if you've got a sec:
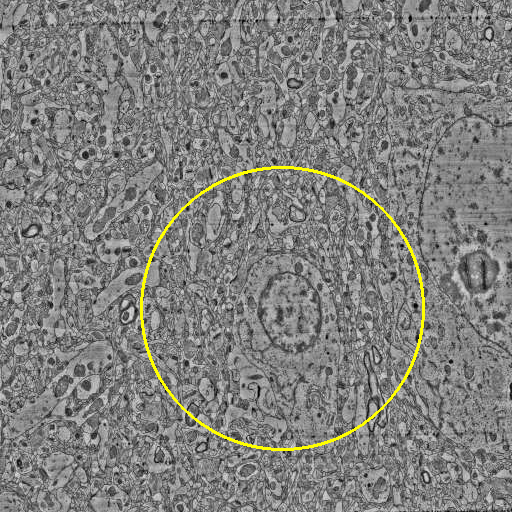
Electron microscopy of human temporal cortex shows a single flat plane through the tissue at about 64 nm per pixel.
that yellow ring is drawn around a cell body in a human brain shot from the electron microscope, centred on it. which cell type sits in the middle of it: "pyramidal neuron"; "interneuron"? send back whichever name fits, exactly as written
pyramidal neuron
